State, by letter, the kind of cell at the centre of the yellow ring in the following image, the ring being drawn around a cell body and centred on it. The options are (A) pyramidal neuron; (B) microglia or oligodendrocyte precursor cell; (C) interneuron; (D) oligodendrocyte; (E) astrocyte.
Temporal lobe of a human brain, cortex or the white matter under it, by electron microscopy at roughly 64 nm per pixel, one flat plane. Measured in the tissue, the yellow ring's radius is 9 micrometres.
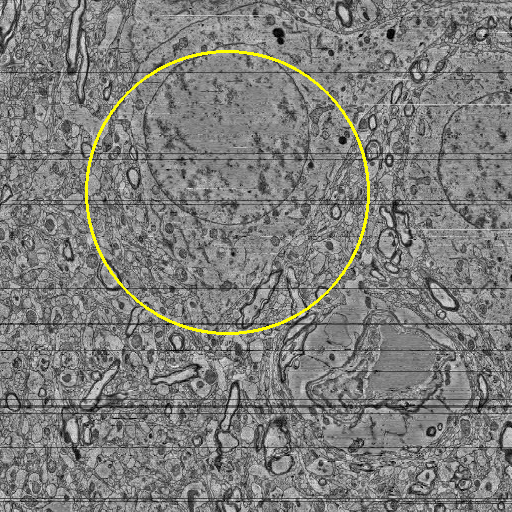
A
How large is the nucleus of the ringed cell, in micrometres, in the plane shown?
Approximately 12 micrometres across in this plane.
